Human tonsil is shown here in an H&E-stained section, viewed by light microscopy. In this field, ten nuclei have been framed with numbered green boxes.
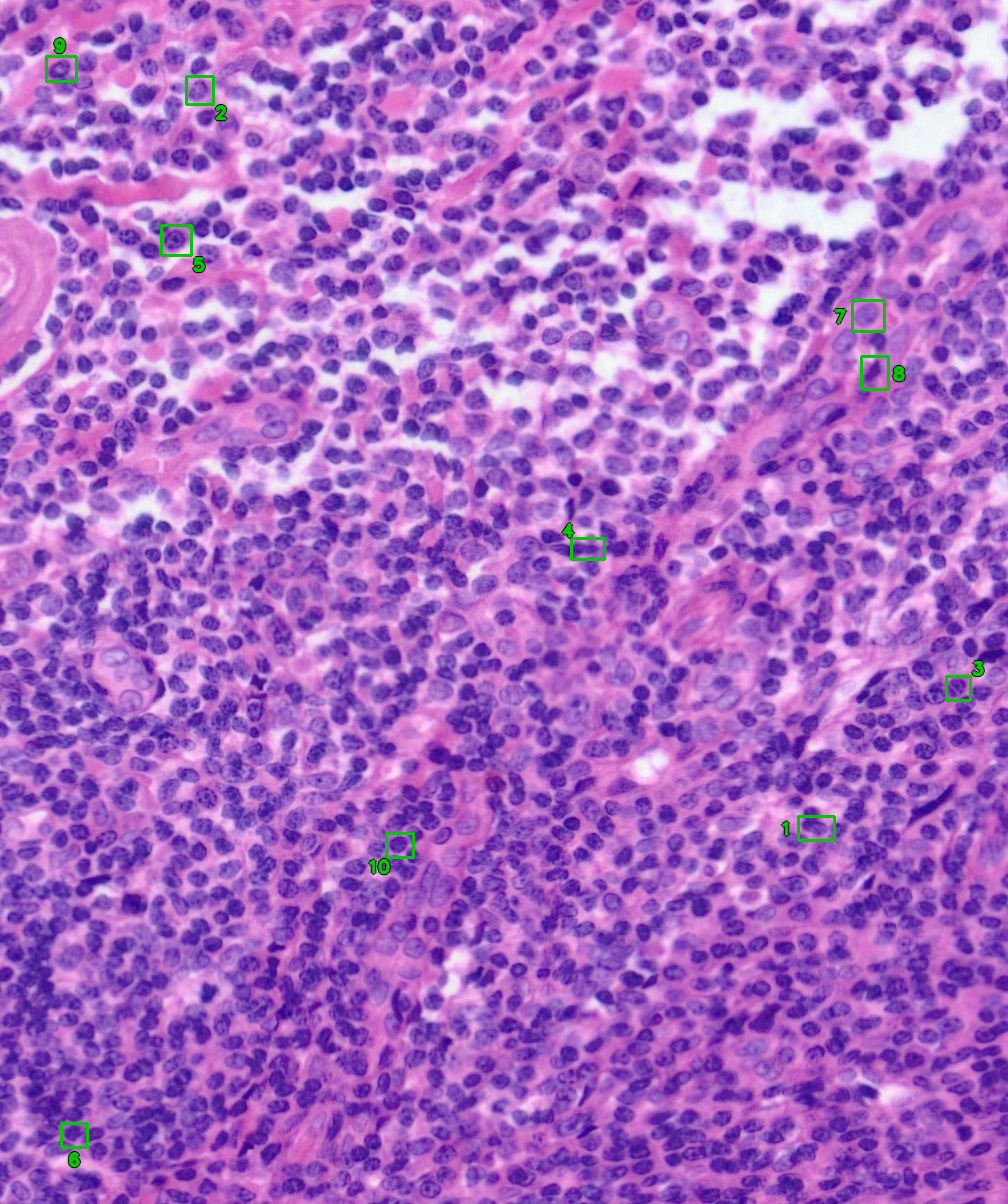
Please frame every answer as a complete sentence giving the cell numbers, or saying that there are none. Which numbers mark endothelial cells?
Cells 7 and 8 are endothelial cells by cell type.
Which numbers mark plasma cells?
The cells marked by the numbers 2, 3, 5 and 9 are plasma cells.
